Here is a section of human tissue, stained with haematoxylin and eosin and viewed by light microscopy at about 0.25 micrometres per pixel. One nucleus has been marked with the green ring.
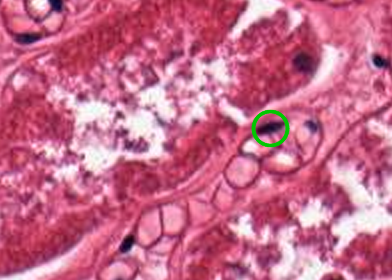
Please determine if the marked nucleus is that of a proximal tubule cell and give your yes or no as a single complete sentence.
No, the marked nucleus forms part of a supporting cell instead of a proximal tubule cell.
